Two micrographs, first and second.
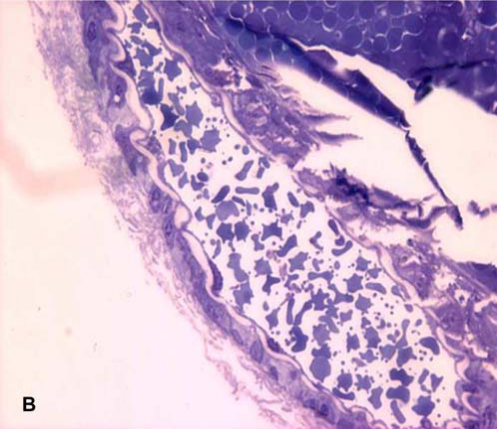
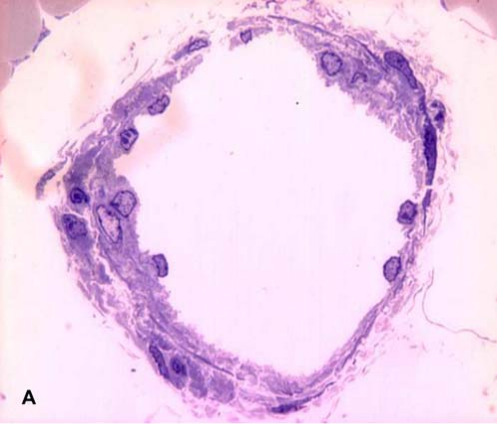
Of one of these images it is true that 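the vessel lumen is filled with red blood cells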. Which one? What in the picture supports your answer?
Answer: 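Second image: the vessel lumen is empty and pale. First image: the lumen is packed with many small dark blue anucleate cells. So: the first image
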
